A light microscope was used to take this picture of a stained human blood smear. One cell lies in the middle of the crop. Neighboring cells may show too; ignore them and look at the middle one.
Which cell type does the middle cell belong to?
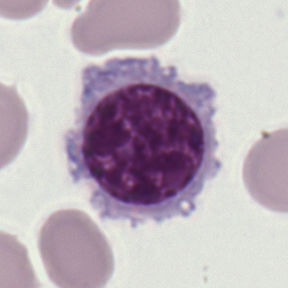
plasma cell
